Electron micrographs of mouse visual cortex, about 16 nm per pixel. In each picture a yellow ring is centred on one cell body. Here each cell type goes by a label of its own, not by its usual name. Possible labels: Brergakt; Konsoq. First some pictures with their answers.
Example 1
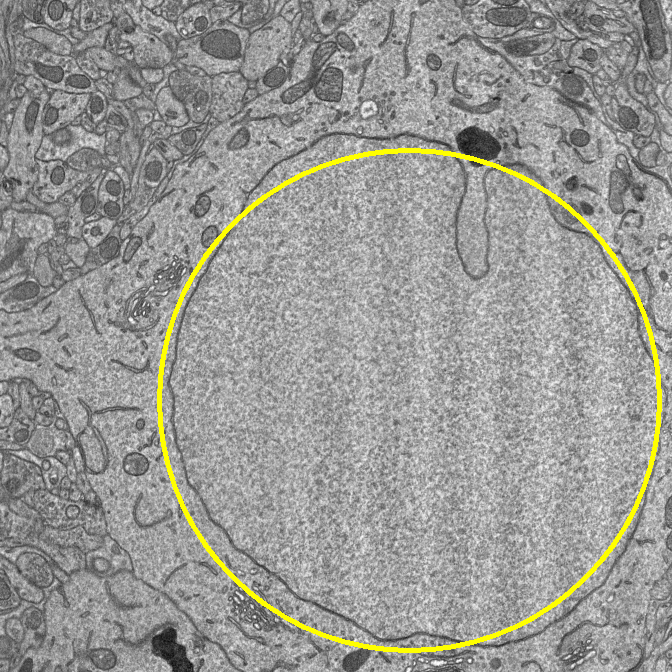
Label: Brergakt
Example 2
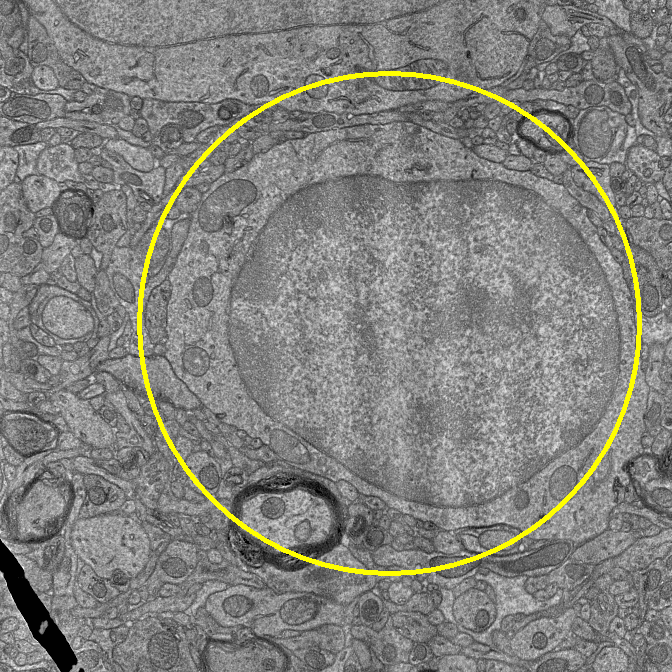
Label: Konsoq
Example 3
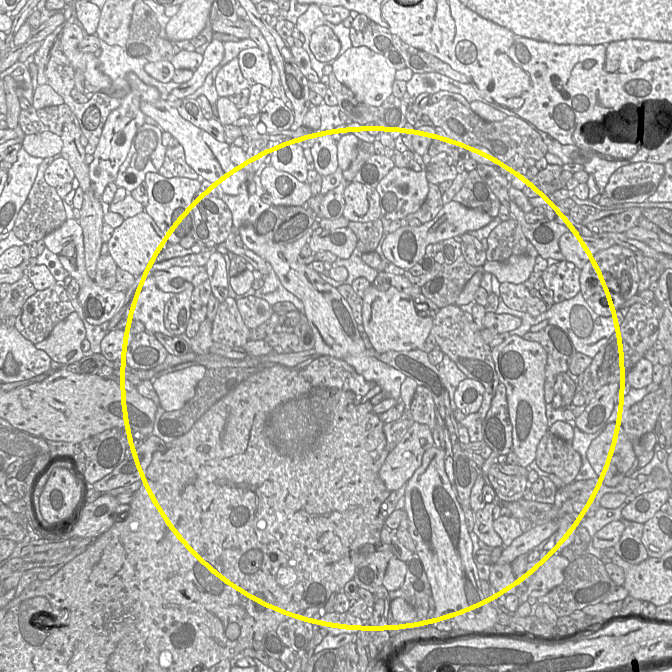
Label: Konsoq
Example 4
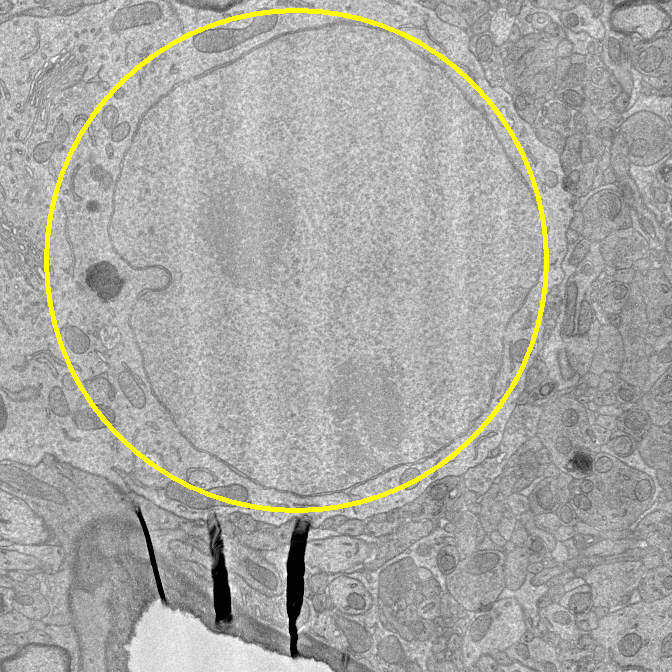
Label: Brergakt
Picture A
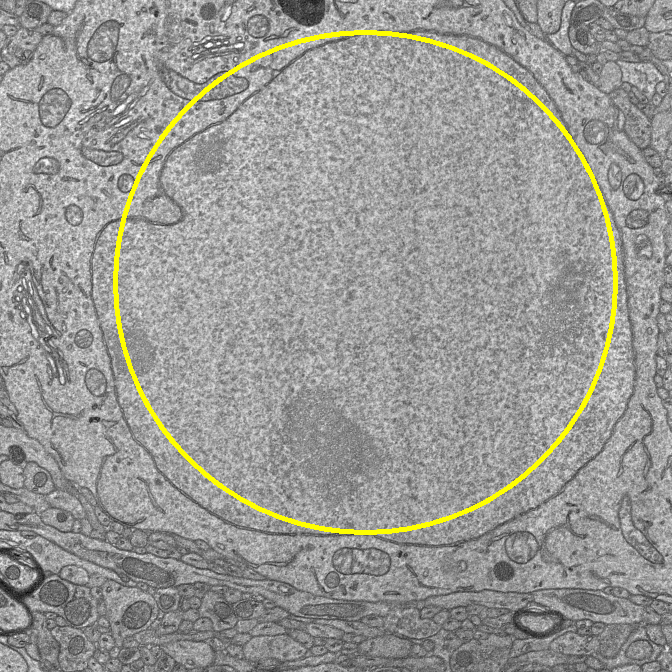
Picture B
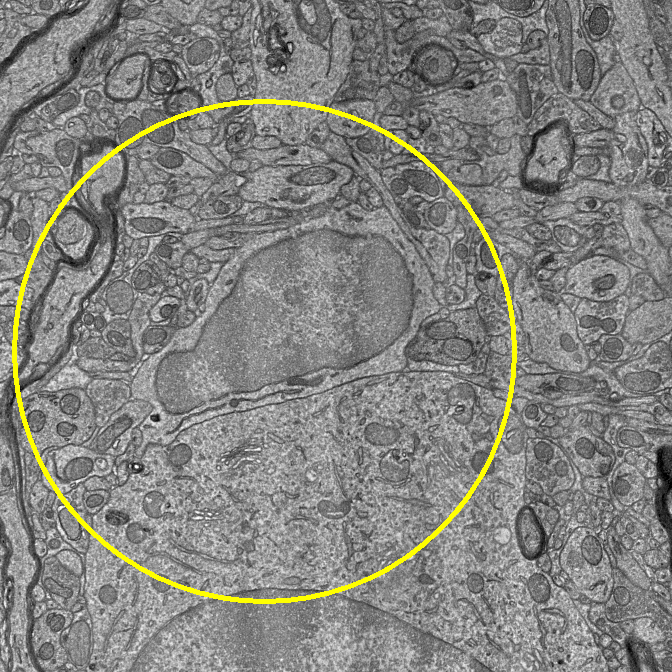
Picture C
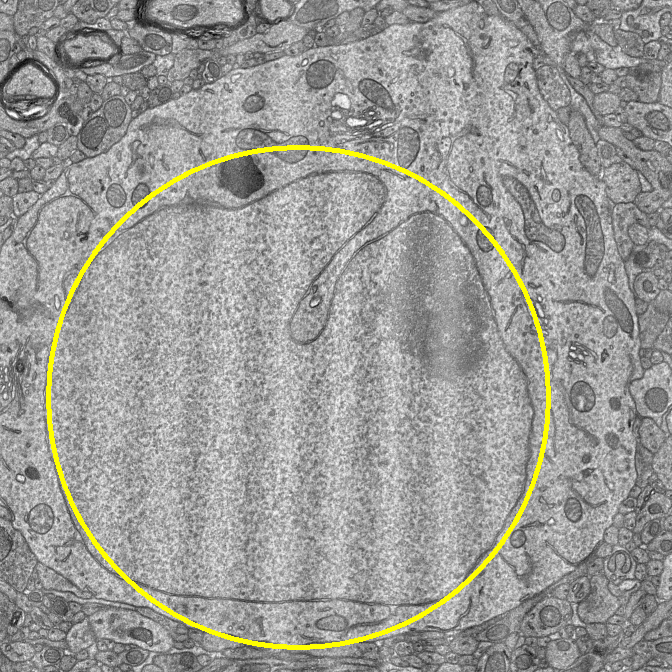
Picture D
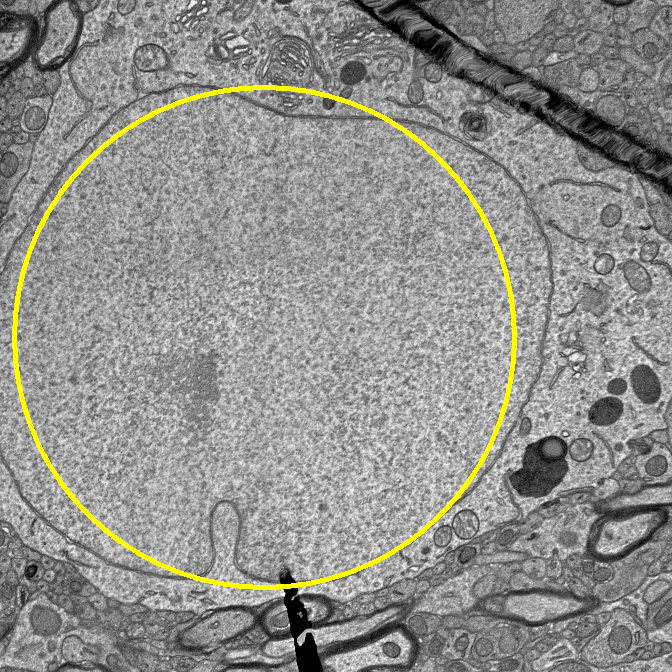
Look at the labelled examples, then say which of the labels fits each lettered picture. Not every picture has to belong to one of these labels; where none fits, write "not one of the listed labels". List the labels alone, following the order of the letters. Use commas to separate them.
Brergakt, not one of the listed labels, Brergakt, Brergakt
